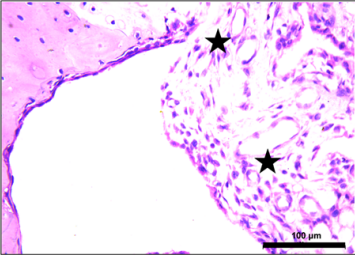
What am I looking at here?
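This is the edge of articular cartilage next to thickened, cellular synovial tissue. On the left lies homogeneous pink cartilage matrix with sparse nuclei, its surface lined by a thin band of flattened dark cells facing an empty joint space. On the right the synovial tissue is crowded with oval and spindle-shaped purple nuclei in a loose pale pink stroma. Small rounded spaces lined by flat cells, resembling small vessels, are scattered among these cells.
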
